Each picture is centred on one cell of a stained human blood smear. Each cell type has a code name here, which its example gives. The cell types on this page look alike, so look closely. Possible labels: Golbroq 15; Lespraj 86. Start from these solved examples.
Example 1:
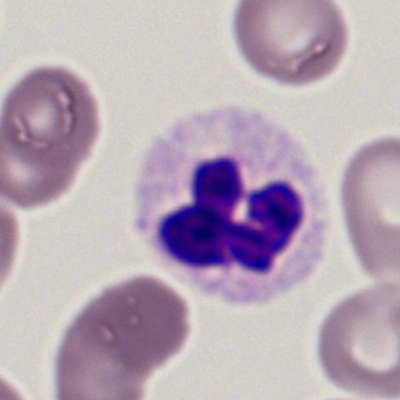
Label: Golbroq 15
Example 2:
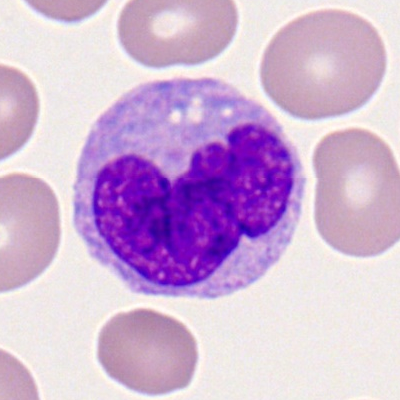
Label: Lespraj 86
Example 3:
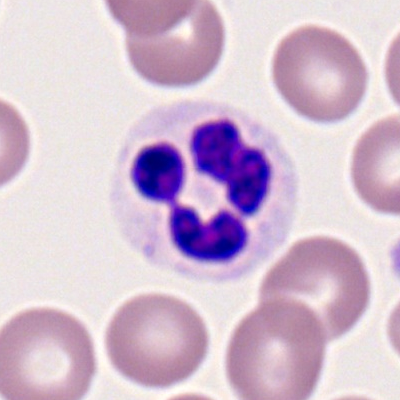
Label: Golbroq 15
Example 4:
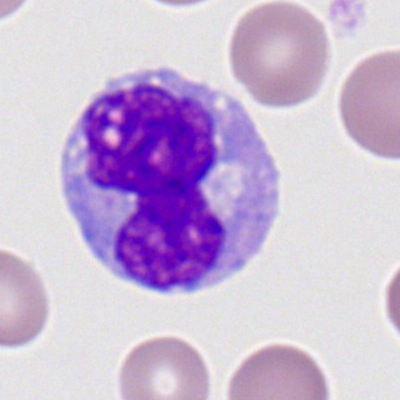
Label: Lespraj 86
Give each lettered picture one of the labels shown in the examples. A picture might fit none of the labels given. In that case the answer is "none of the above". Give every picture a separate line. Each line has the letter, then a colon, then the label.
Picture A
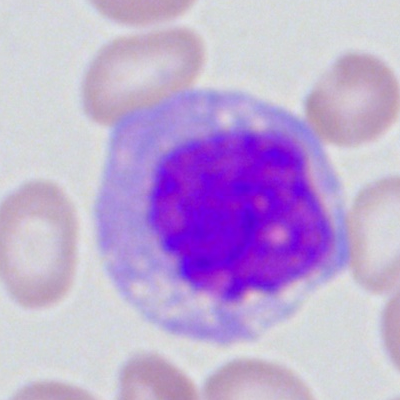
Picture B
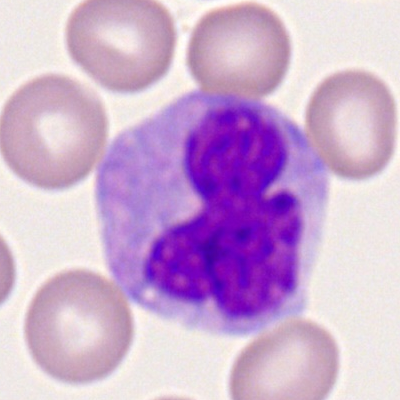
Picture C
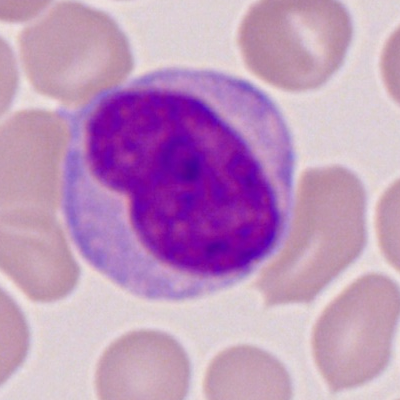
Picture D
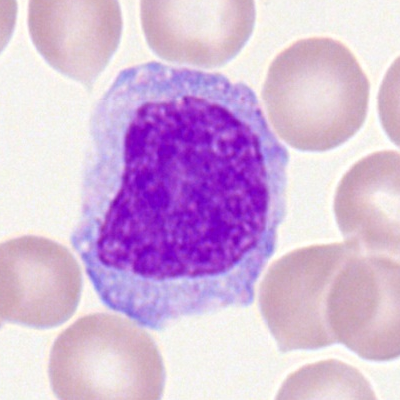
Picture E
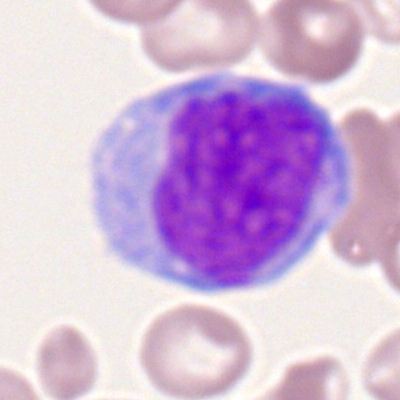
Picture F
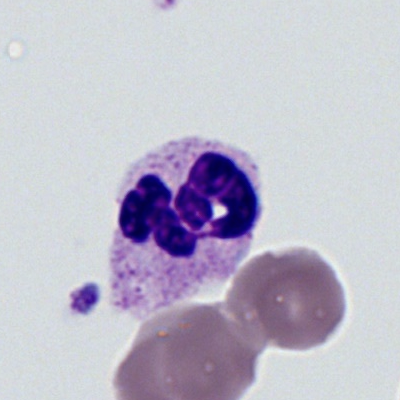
A: Lespraj 86
B: Lespraj 86
C: Lespraj 86
D: Lespraj 86
E: Lespraj 86
F: Golbroq 15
